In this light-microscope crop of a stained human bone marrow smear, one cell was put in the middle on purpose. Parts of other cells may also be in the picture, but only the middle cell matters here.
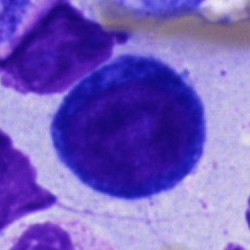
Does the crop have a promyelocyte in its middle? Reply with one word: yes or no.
no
